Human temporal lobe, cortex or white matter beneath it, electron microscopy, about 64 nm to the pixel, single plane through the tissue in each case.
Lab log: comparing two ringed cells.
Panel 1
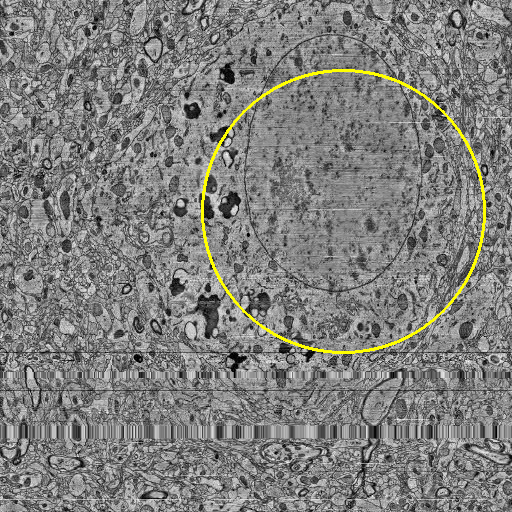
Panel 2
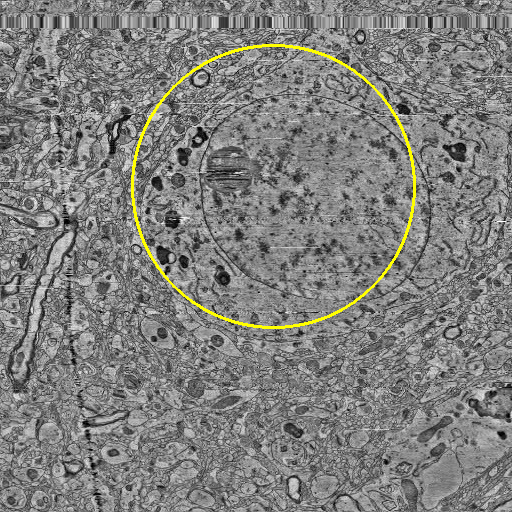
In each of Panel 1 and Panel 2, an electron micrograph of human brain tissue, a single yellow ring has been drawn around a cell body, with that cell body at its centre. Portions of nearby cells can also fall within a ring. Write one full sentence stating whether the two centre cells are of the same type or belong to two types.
The cells at the ring centres in Panel 1 and Panel 2 are of the same type.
